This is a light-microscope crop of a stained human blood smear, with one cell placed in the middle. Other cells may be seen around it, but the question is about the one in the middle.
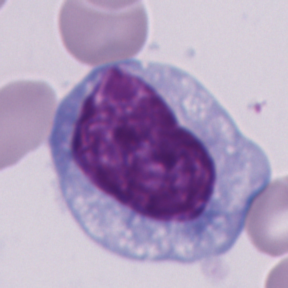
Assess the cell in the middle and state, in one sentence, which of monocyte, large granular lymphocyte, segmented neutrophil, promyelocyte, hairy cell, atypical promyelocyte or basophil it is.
The cell marked by its central position in the crop is a monocyte.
